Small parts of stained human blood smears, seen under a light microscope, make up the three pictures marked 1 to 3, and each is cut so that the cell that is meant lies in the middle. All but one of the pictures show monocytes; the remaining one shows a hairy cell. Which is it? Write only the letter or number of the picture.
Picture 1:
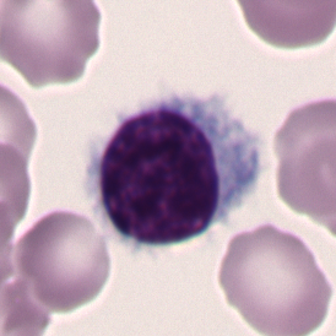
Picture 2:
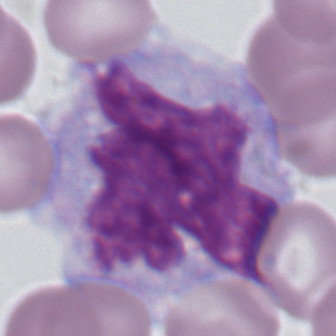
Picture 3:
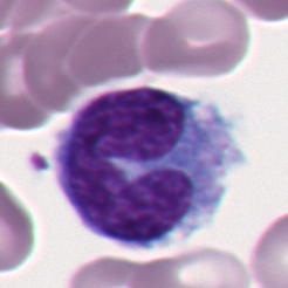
1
